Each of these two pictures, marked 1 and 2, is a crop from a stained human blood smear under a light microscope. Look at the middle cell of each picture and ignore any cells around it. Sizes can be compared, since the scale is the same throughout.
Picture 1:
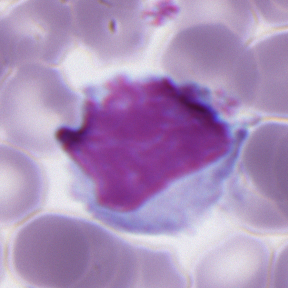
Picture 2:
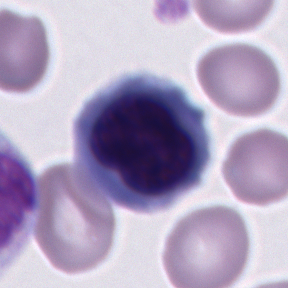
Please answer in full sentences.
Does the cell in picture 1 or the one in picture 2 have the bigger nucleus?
Picture 1 shows the larger nucleus; it covers about 2 times the area of the nucleus in picture 2.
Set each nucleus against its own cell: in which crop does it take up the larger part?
Of the two, the nucleus in picture 1 makes up the greater part of its cell.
